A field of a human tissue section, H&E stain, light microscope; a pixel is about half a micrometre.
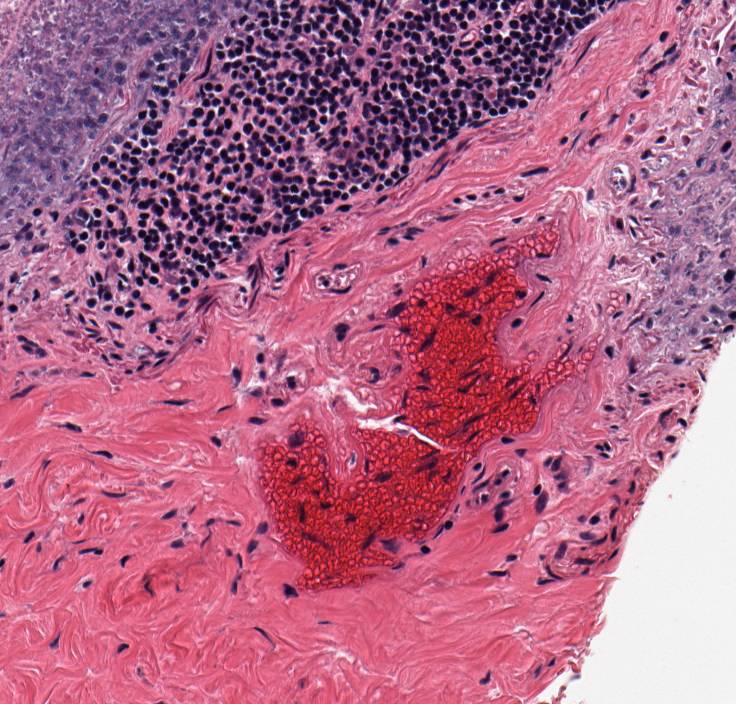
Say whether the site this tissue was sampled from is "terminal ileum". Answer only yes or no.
yes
